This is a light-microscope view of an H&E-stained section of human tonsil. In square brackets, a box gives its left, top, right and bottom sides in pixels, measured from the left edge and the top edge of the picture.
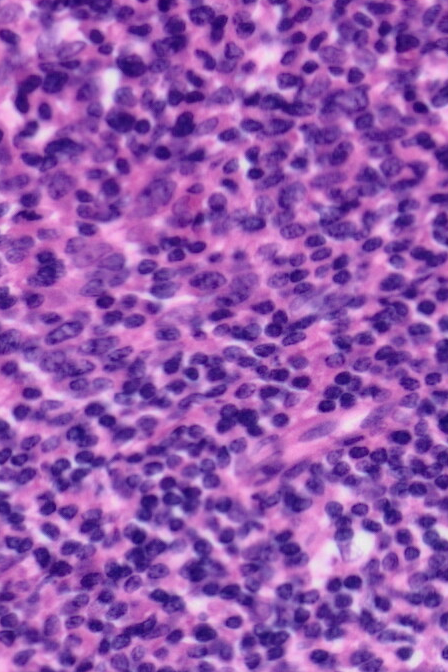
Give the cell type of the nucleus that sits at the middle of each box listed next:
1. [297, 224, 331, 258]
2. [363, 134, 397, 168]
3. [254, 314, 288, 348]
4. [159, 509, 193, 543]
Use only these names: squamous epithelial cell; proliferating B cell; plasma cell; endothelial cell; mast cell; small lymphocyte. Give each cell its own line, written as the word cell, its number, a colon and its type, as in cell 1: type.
cell 1: small lymphocyte
cell 2: proliferating B cell
cell 3: small lymphocyte
cell 4: small lymphocyte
